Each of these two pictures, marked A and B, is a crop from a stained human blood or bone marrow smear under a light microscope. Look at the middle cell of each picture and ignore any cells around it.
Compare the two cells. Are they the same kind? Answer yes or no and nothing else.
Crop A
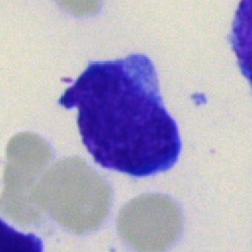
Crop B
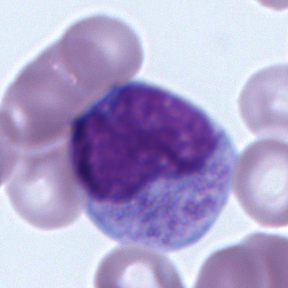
no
